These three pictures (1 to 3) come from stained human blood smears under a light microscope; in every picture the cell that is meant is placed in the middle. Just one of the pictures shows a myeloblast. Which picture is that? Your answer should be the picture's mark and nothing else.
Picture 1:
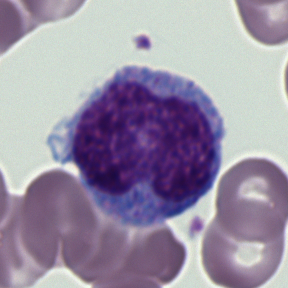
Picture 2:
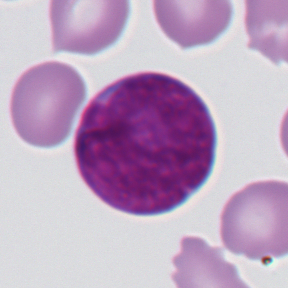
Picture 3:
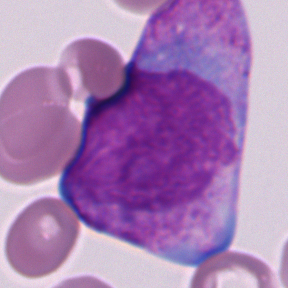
2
